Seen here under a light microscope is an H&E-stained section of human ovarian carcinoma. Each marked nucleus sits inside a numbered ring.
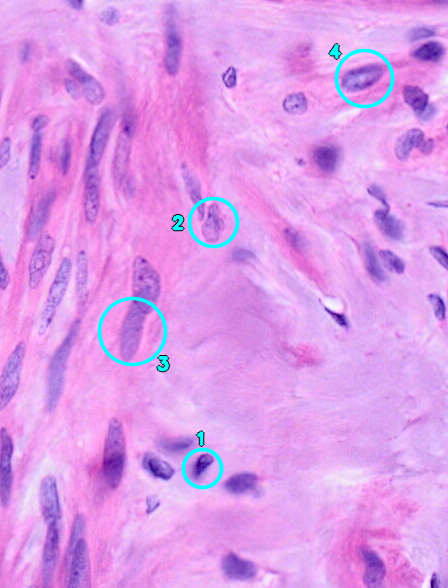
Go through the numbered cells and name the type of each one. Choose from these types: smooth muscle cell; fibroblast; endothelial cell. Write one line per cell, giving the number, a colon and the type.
1: fibroblast
2: smooth muscle cell
3: smooth muscle cell
4: endothelial cell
